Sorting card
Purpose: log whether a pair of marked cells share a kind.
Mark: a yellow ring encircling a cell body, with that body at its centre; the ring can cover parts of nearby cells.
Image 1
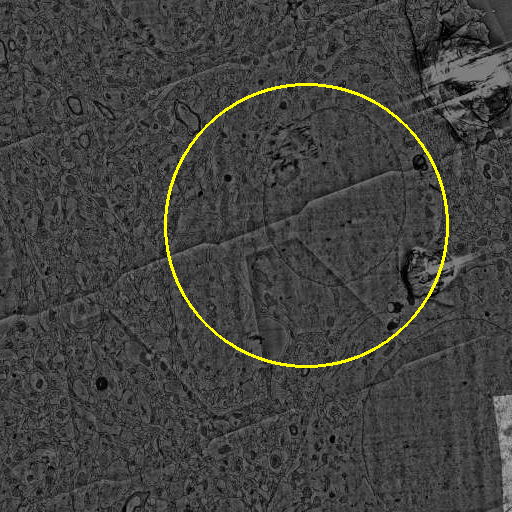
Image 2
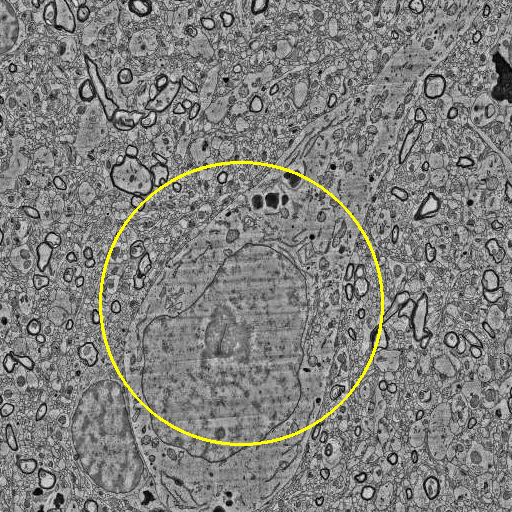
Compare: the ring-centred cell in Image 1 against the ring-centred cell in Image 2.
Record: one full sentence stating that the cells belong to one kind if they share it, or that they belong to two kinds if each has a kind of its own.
Across Images 1 and 2, the two ring-centred cells belong to one kind.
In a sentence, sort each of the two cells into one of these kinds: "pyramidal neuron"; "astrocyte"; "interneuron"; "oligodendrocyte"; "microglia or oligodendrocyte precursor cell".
The second cell is a pyramidal neuron, just as the first is.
